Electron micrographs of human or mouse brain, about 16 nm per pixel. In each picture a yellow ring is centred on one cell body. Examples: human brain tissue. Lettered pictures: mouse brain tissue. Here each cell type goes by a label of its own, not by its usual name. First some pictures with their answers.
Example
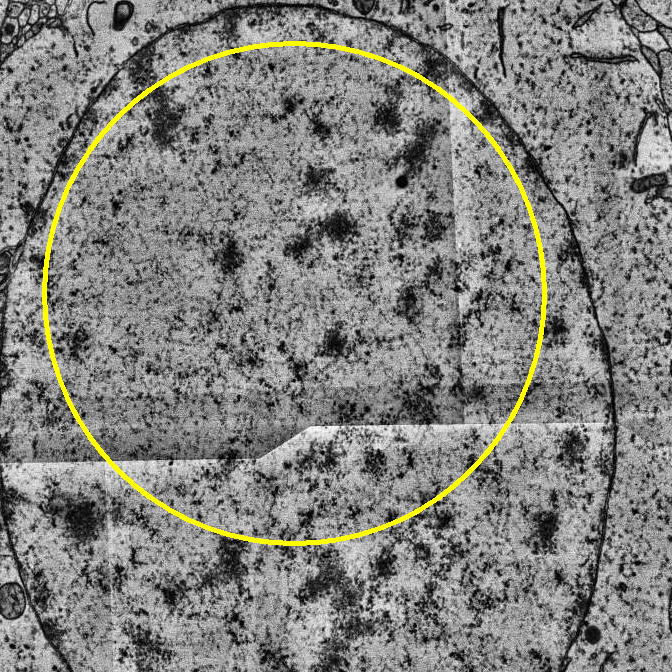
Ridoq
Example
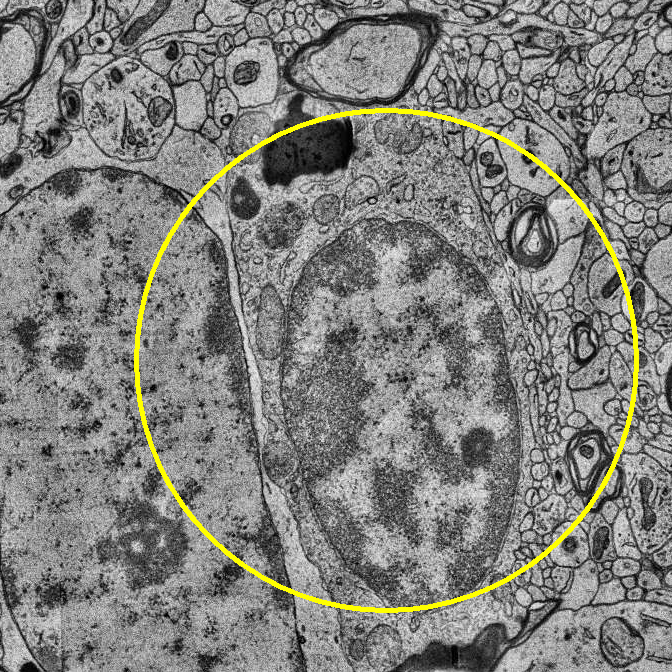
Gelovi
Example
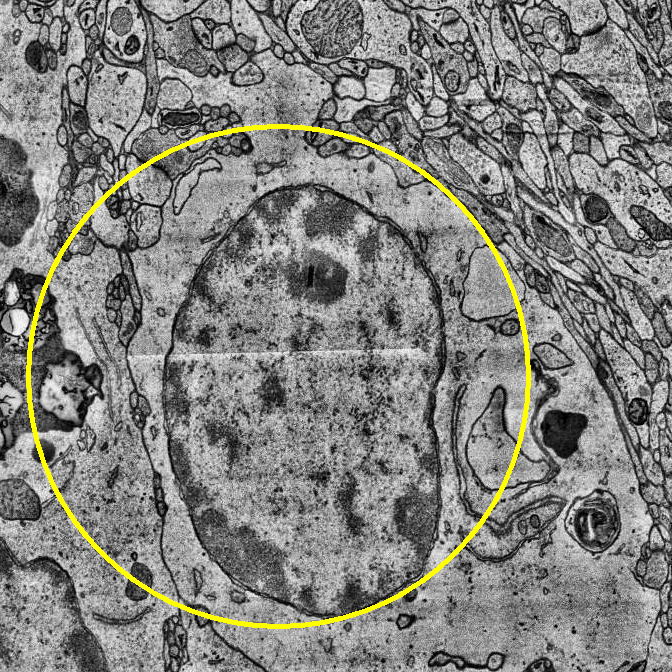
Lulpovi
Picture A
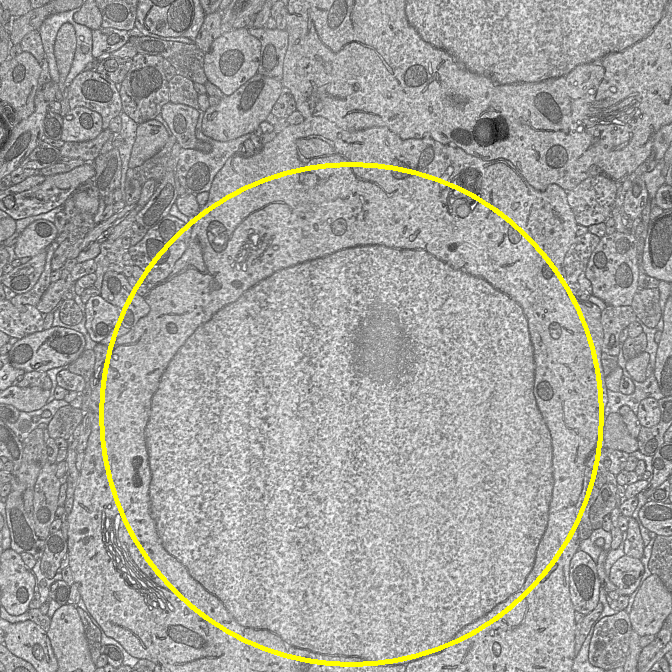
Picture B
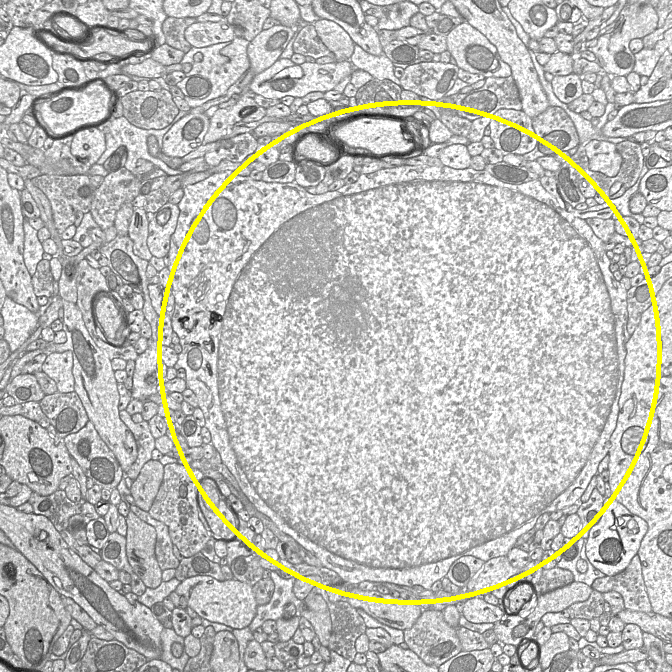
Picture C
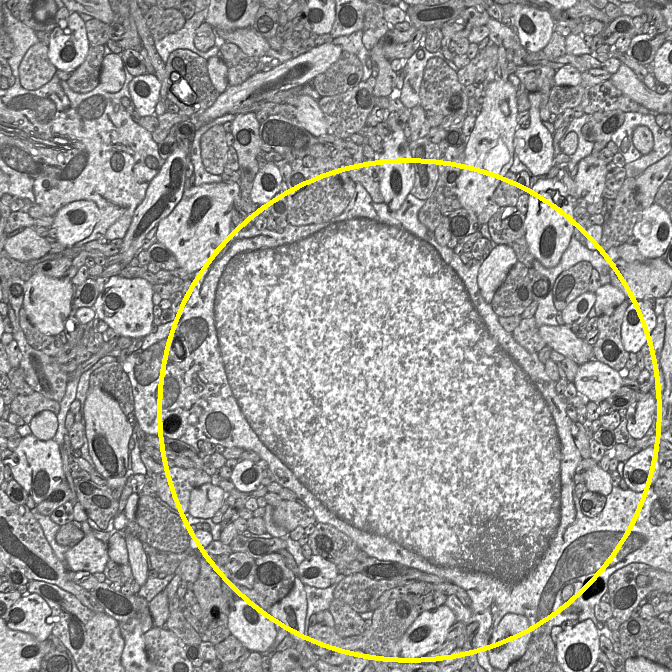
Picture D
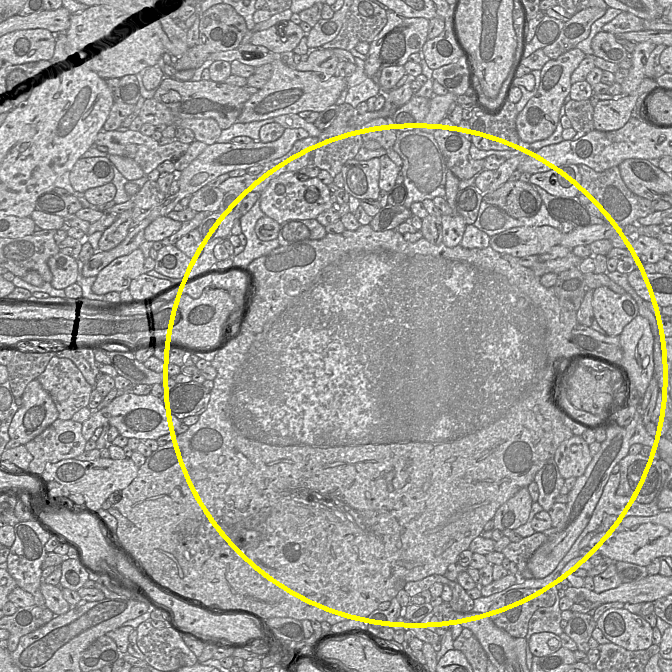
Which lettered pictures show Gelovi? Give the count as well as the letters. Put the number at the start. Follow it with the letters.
Count: 1 (D)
